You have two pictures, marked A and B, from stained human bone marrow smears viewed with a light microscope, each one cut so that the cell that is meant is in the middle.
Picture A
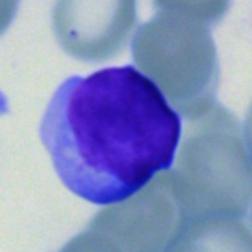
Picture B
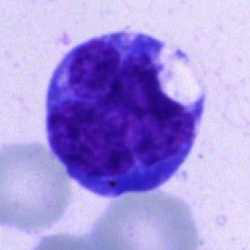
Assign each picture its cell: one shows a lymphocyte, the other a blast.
A: lymphocyte
B: blast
